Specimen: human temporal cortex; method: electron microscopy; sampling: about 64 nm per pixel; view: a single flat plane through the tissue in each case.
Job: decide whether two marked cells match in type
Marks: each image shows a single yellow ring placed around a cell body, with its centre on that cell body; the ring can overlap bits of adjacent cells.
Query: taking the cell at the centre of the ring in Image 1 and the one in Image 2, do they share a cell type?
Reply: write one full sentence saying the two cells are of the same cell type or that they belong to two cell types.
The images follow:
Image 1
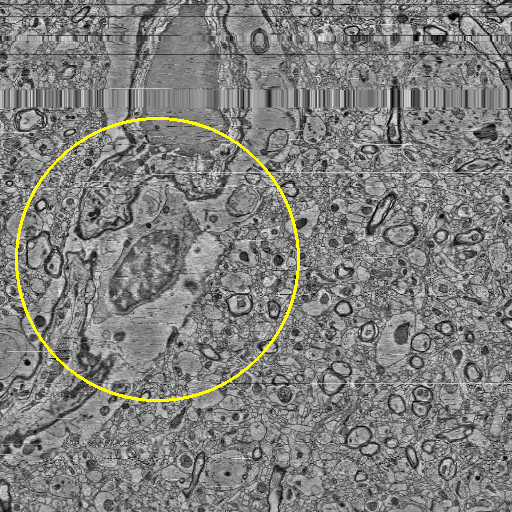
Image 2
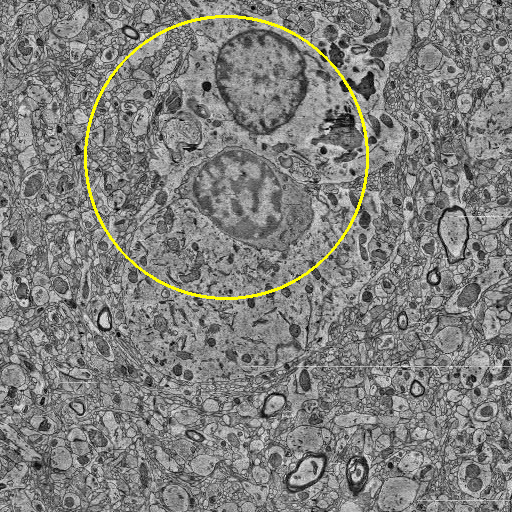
The cells at the ring centres in Image 1 and Image 2 are of the same cell type.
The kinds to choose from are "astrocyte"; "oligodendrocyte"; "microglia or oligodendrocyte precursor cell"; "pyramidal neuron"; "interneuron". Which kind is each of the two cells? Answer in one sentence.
Each one of the two ringed cells is an oligodendrocyte.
